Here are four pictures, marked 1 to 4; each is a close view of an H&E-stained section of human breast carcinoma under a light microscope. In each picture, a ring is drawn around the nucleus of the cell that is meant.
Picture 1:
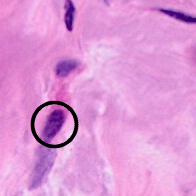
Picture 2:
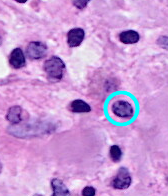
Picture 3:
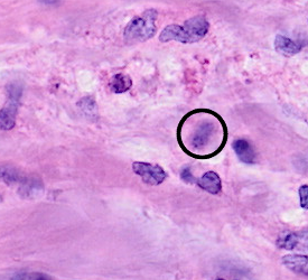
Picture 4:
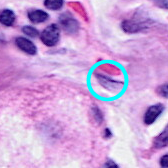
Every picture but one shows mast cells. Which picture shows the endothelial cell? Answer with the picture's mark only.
4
